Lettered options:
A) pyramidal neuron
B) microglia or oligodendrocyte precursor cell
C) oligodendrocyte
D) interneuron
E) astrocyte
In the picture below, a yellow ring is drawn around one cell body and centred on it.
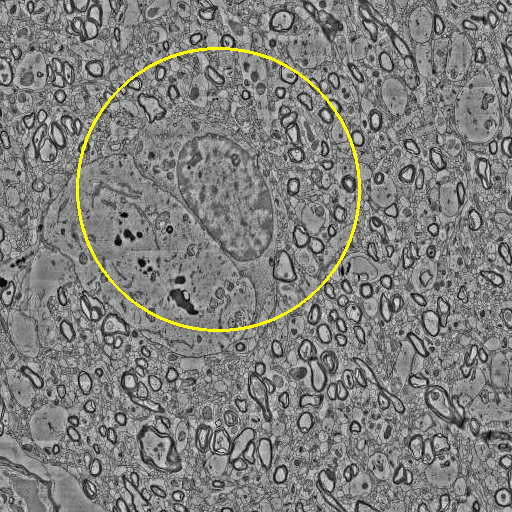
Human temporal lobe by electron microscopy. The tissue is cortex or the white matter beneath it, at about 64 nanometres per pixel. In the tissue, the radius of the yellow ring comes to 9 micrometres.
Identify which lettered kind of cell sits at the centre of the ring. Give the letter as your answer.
C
